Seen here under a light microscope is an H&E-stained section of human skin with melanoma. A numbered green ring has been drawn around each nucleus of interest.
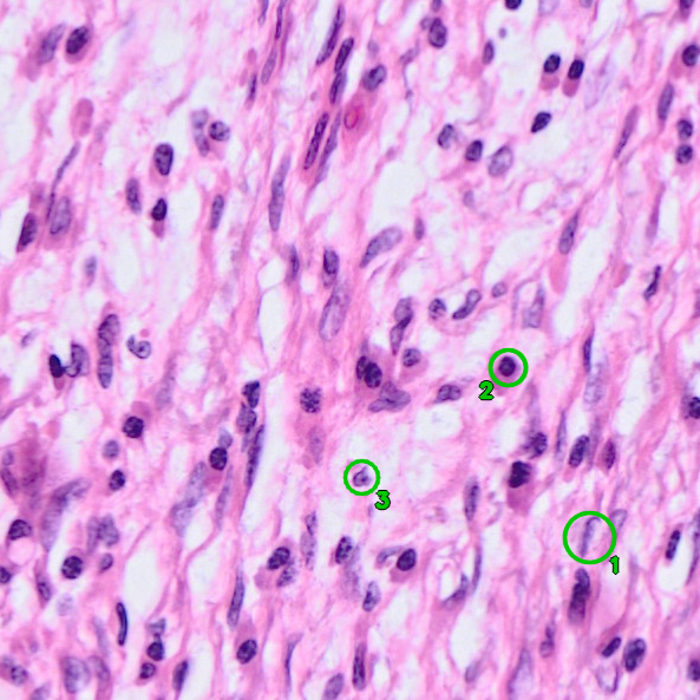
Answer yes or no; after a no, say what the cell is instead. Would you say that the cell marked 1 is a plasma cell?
No, it is a fibroblast or myofibroblast.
